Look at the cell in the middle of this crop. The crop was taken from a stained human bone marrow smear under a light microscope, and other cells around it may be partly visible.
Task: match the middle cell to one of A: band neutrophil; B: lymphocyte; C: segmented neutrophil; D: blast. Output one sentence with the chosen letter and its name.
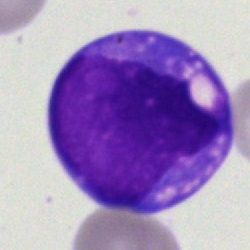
Of the options given, D is correct, the central cell being a blast.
